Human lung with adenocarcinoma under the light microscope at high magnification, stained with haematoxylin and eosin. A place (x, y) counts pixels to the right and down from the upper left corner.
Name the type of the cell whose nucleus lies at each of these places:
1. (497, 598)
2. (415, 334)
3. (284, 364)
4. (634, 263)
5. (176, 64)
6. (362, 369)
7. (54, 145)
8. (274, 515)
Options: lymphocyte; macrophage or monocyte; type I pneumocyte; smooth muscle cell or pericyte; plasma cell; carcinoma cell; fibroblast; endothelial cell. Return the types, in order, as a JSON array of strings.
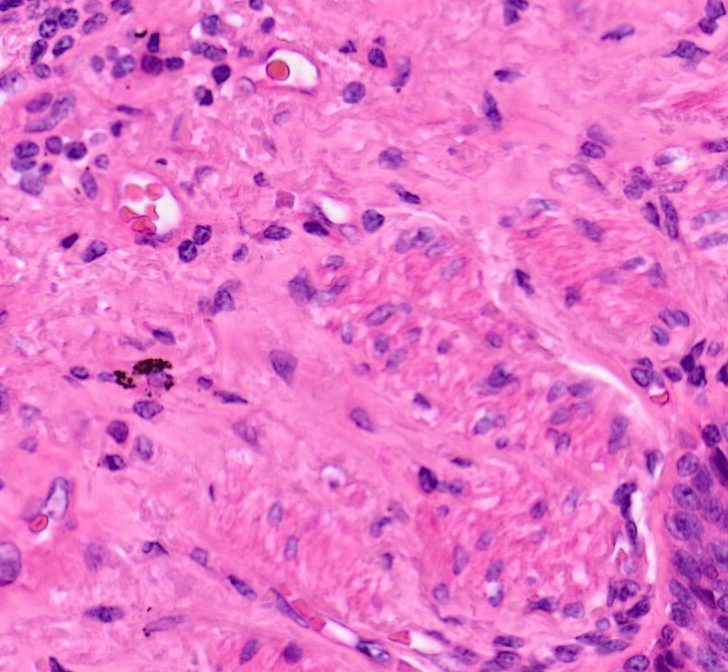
["smooth muscle cell or pericyte", "smooth muscle cell or pericyte", "fibroblast", "smooth muscle cell or pericyte", "lymphocyte", "smooth muscle cell or pericyte", "lymphocyte", "smooth muscle cell or pericyte"]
